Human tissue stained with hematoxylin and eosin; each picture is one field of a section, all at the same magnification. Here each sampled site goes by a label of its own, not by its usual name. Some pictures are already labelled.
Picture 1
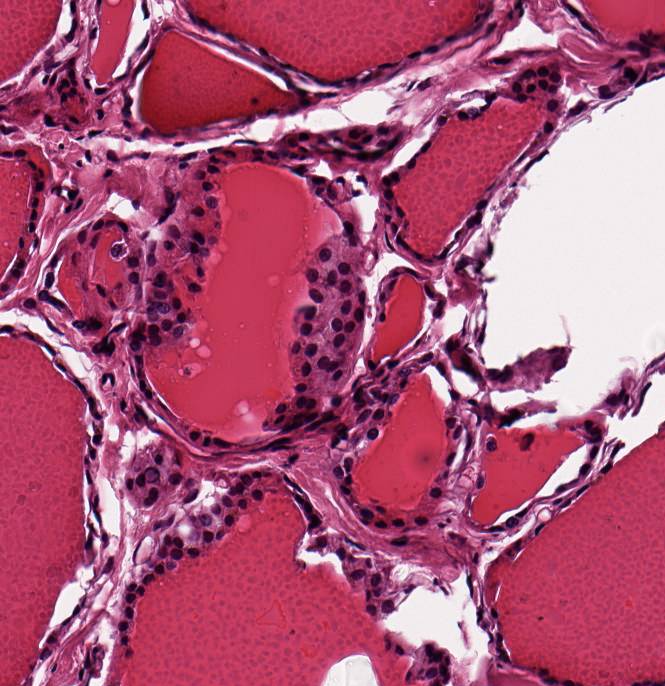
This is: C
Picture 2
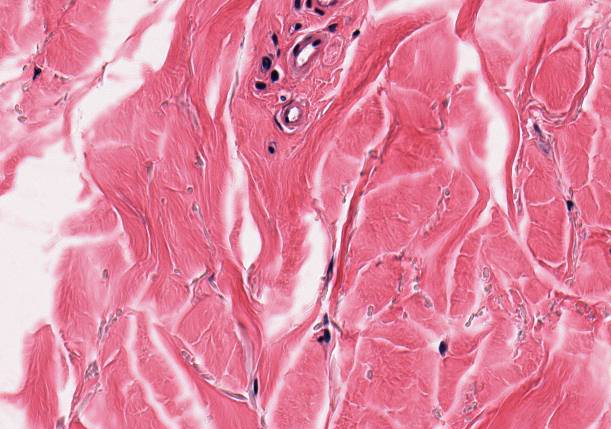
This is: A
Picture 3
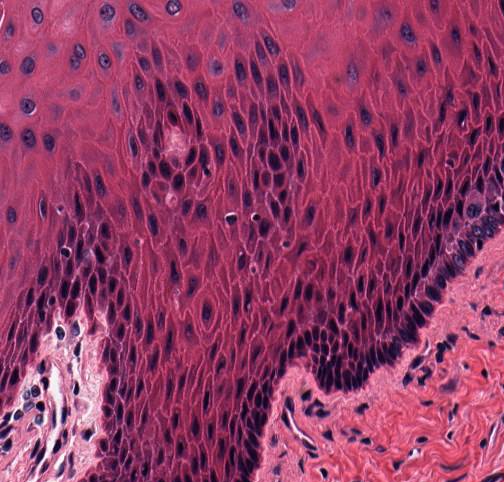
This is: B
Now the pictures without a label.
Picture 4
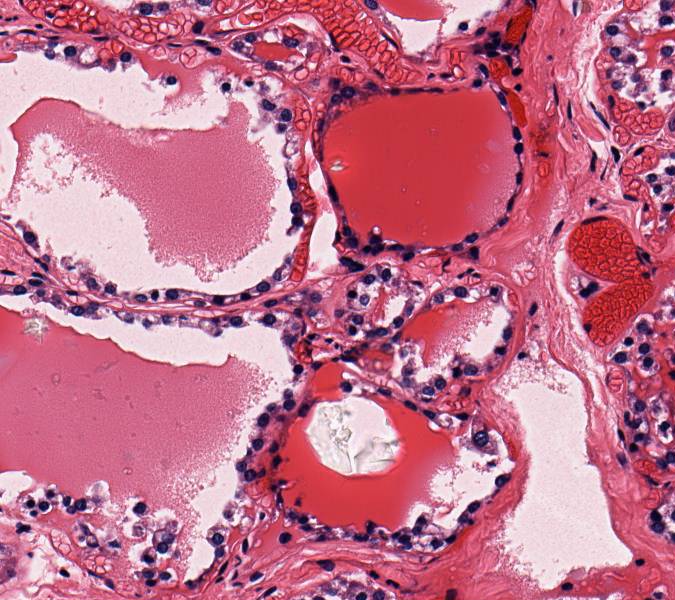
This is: C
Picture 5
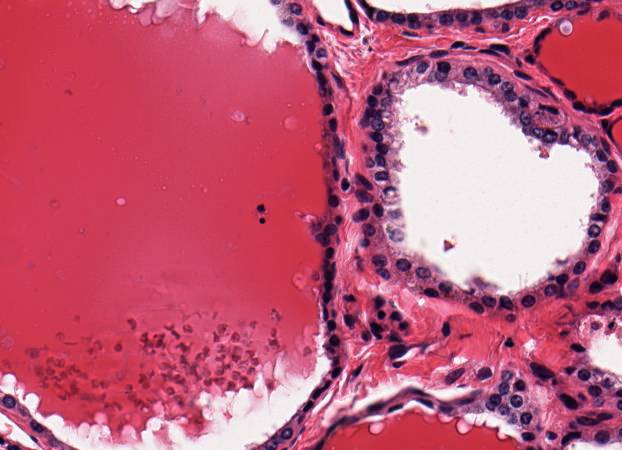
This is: C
